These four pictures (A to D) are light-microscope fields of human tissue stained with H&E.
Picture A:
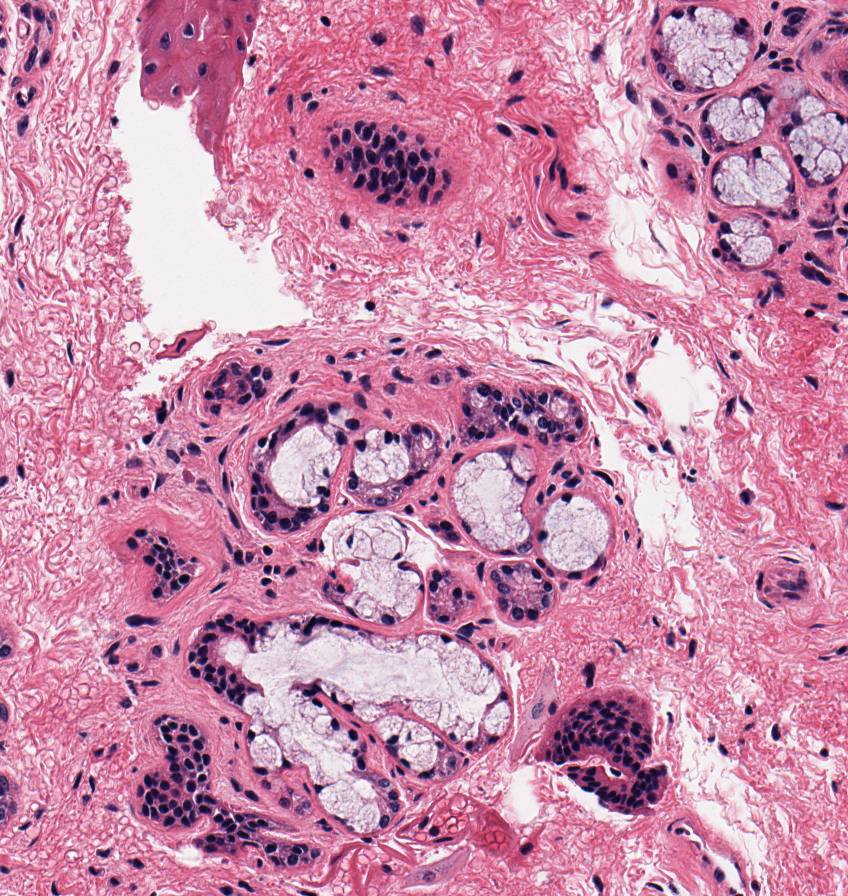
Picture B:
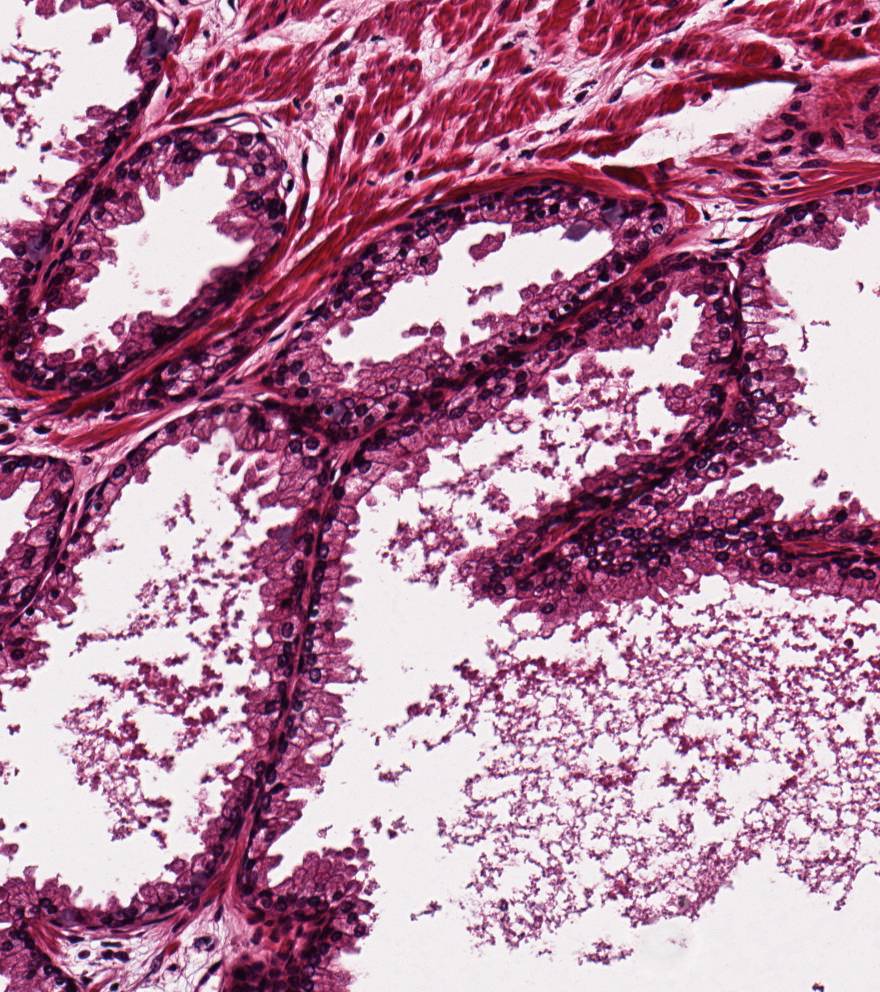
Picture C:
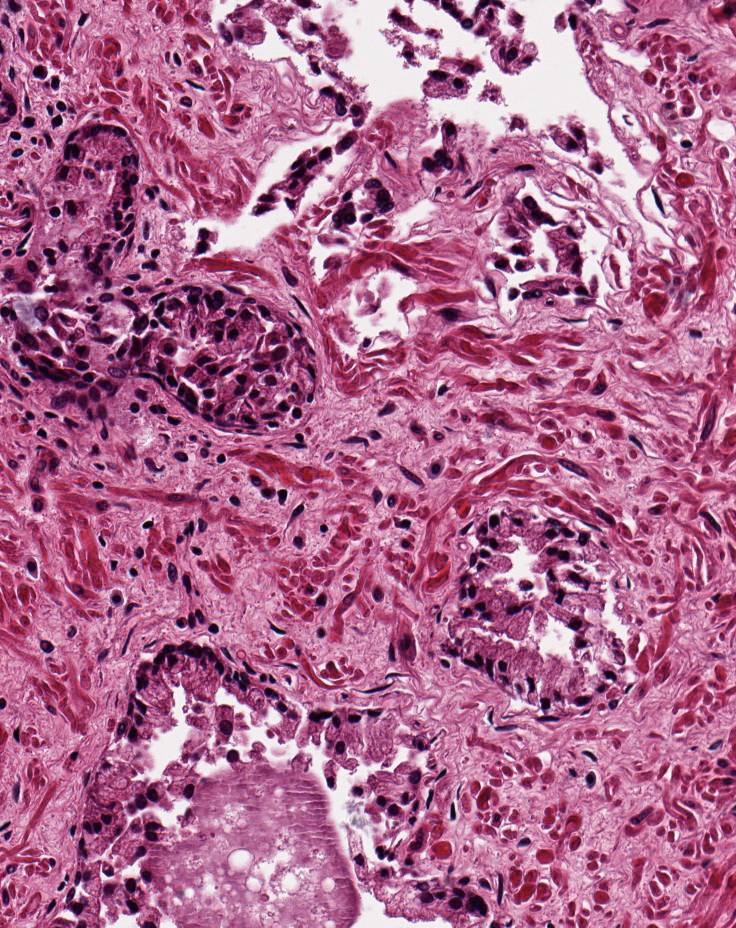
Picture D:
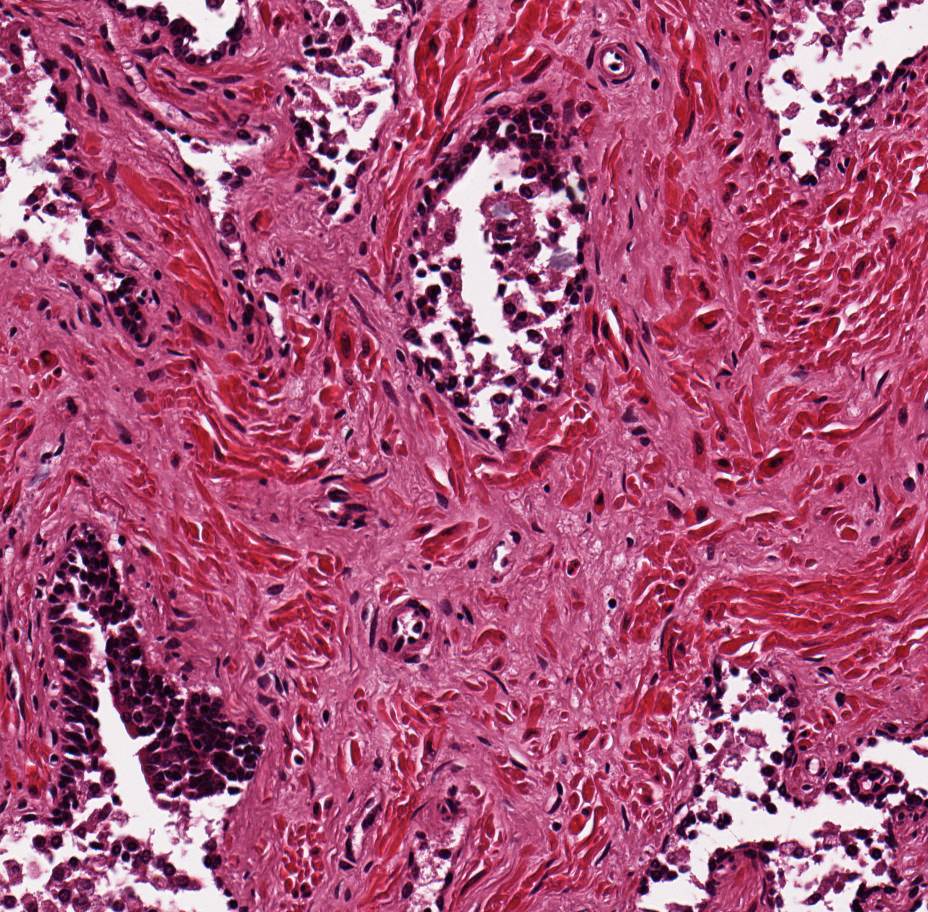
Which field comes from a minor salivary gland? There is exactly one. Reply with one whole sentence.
Picture A is the field that comes from a minor salivary gland.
